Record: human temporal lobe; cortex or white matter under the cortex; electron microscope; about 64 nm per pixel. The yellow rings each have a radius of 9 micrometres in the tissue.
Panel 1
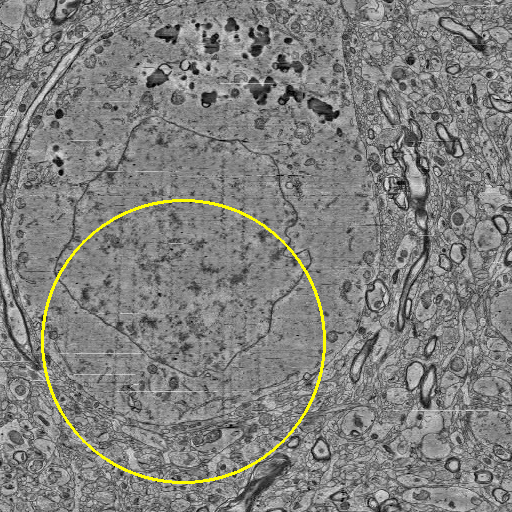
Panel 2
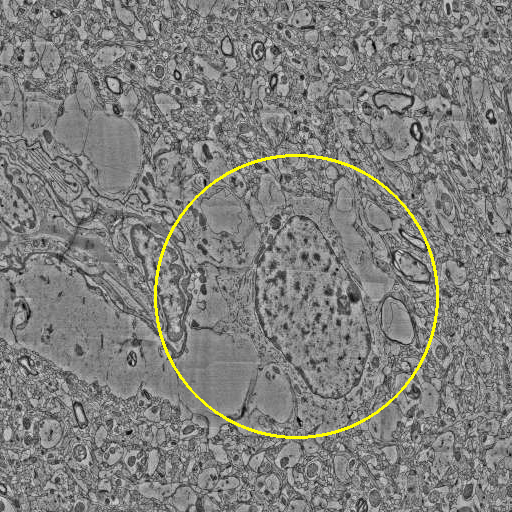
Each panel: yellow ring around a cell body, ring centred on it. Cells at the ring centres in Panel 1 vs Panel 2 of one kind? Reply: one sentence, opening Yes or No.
No, Panel 1 and Panel 2 have cells of two kinds at the ring centres.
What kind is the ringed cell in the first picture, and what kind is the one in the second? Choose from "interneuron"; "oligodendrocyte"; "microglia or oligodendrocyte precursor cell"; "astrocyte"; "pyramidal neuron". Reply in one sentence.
The first cell is a pyramidal neuron; the second is a microglial cell or oligodendrocyte precursor cell.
